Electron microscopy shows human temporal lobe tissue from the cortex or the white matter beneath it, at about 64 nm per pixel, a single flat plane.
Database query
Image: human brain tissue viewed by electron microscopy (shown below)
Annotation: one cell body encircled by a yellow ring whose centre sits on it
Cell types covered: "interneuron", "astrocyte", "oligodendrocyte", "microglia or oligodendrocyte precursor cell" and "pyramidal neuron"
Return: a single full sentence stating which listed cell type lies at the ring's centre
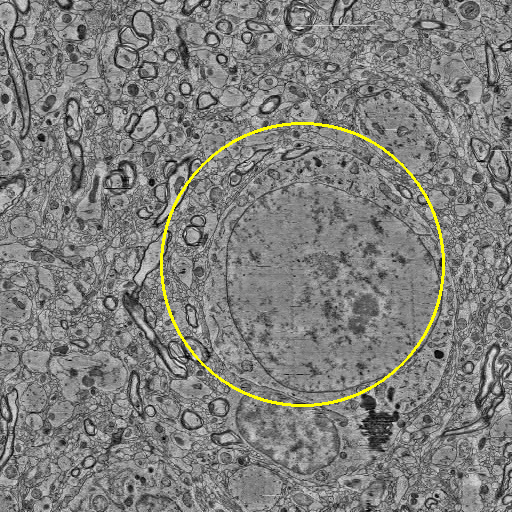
In the image, the cell lying at the ring's centre is a pyramidal neuron.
